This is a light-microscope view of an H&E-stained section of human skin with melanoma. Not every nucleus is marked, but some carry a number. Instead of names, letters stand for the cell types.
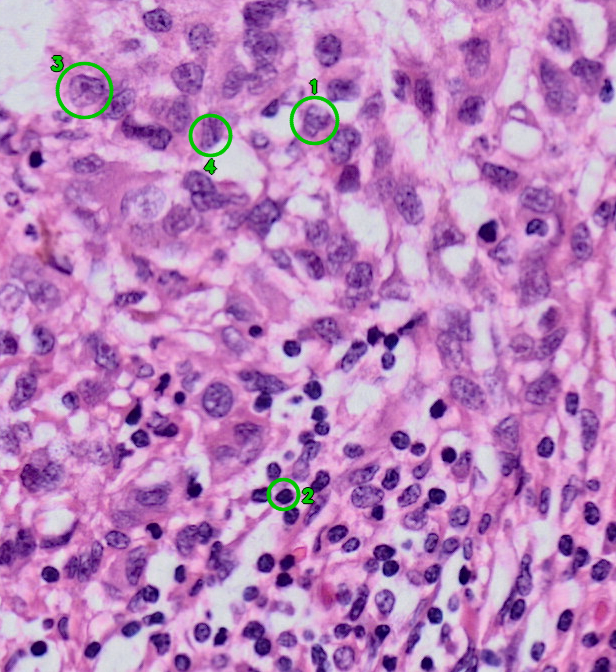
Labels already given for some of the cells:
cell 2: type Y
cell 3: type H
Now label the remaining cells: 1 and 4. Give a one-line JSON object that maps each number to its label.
{"1": "type H", "4": "type H"}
